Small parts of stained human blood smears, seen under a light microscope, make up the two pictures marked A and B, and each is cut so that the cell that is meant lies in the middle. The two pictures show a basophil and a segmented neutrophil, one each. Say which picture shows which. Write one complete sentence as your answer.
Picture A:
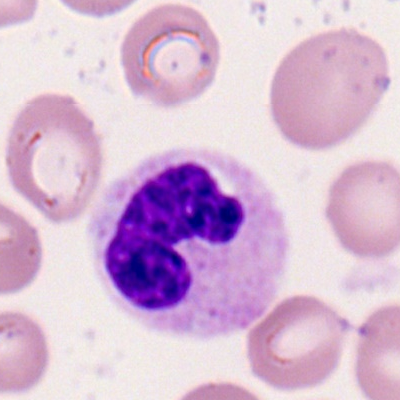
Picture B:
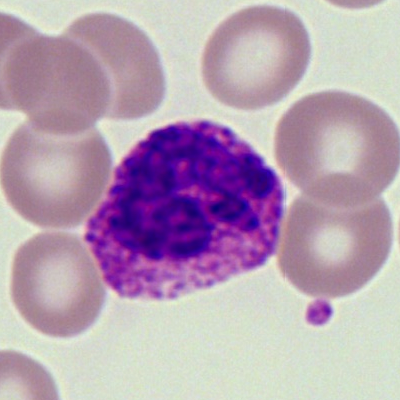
Picture A is of a segmented neutrophil, and picture B is of a basophil.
